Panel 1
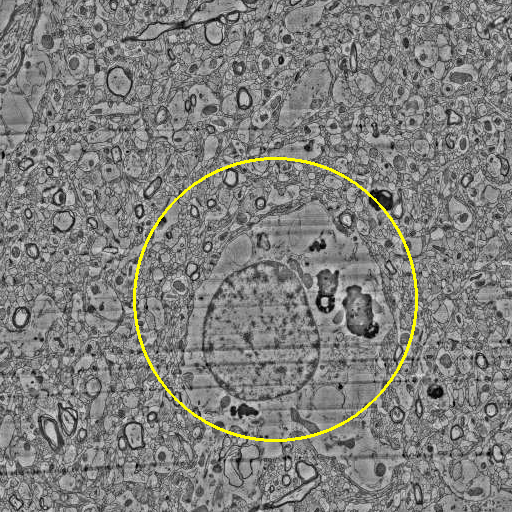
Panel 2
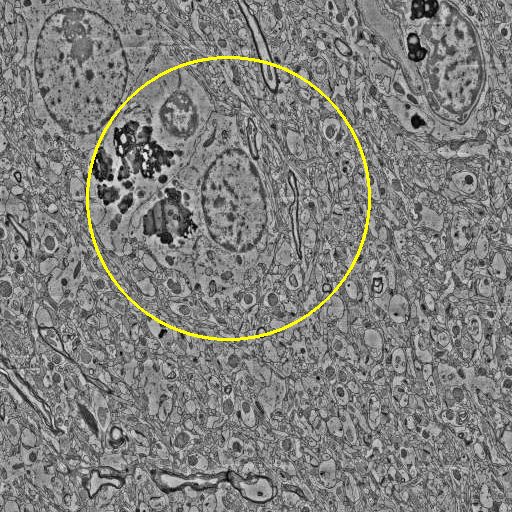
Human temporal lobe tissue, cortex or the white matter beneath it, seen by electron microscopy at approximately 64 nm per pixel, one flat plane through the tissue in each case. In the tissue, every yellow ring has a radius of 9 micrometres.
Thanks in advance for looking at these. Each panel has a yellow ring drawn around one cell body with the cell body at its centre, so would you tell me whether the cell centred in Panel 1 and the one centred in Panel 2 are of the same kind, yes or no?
yes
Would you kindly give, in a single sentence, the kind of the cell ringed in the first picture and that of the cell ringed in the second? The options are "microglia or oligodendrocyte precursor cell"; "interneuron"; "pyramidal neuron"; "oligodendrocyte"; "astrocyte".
Both the first and the second picture show an astrocyte in the ring.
